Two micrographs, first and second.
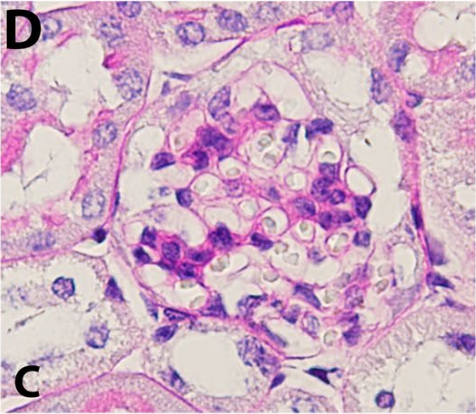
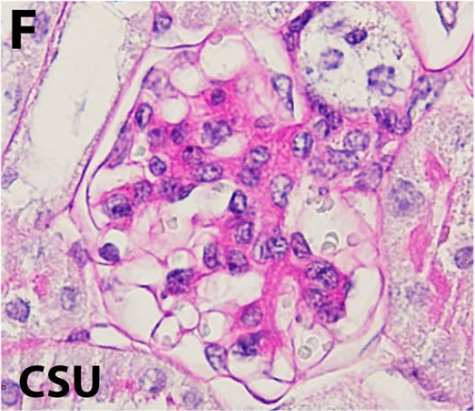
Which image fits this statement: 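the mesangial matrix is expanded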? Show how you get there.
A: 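The second image. Second image: wide magenta matrix bands fill the centre of the glomerular tuft. First image: magenta matrix is sparse, with thin strands between open capillary loops.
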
